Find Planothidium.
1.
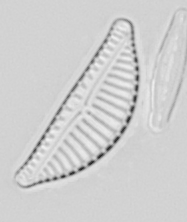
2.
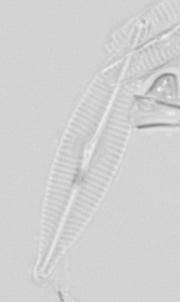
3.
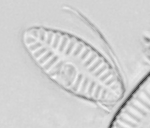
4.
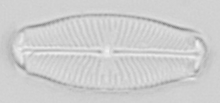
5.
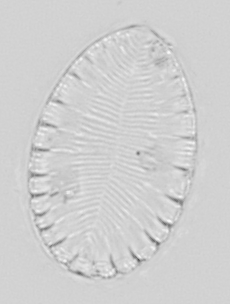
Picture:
3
